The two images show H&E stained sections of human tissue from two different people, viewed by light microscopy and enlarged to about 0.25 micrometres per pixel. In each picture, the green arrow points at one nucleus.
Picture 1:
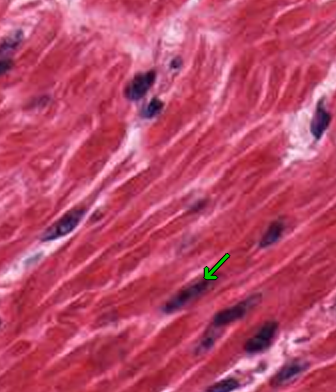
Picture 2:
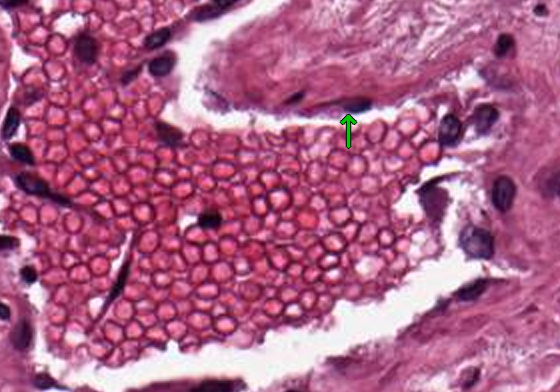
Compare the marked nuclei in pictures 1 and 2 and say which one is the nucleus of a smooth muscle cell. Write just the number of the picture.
1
